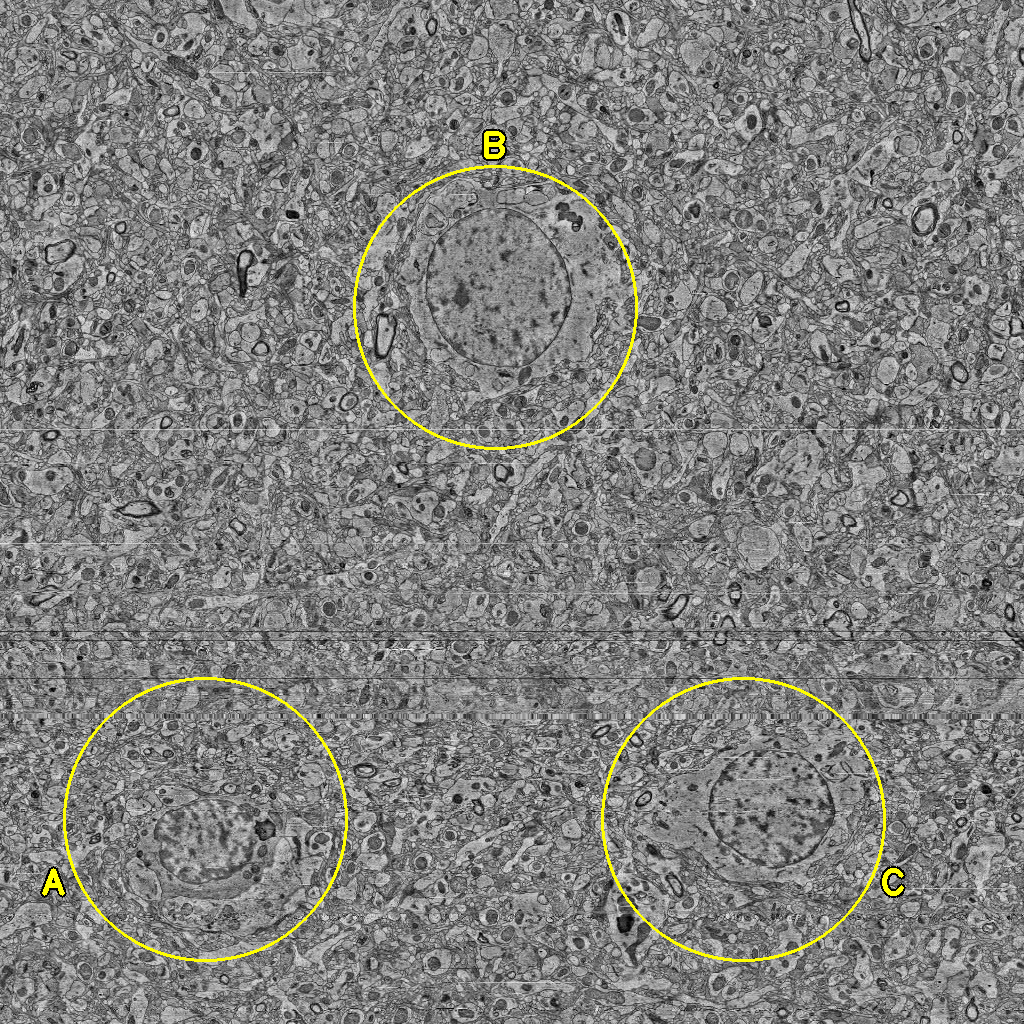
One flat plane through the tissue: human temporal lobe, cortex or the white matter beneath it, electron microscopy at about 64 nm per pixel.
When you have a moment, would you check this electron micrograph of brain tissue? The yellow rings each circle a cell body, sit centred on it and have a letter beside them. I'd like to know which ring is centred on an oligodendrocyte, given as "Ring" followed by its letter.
Ring A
